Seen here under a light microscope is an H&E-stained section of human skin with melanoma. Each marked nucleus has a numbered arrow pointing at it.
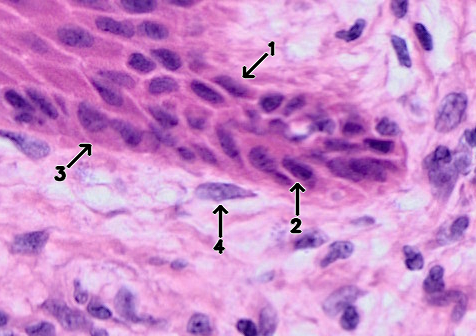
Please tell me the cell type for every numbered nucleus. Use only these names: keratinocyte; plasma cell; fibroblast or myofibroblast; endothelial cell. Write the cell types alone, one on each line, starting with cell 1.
keratinocyte
keratinocyte
keratinocyte
fibroblast or myofibroblast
